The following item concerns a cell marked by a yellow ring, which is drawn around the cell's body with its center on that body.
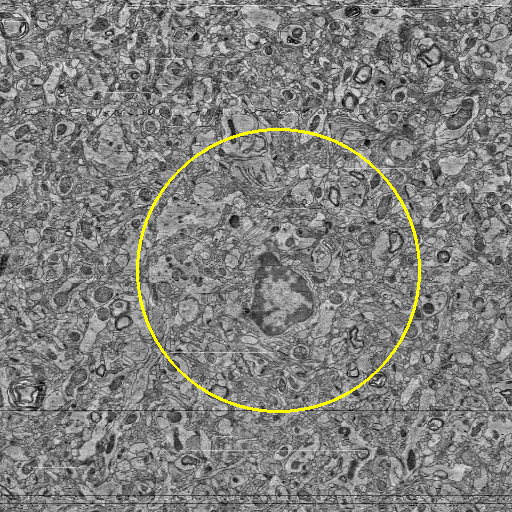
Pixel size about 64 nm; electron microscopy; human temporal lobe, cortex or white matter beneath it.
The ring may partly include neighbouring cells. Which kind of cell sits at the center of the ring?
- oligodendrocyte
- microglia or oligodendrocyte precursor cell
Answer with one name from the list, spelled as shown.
microglia or oligodendrocyte precursor cell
